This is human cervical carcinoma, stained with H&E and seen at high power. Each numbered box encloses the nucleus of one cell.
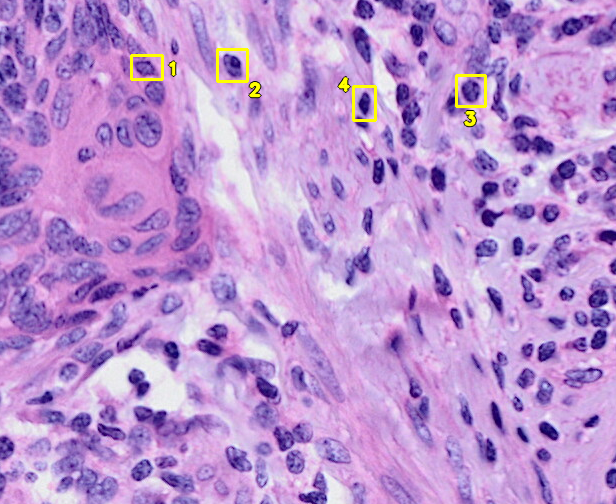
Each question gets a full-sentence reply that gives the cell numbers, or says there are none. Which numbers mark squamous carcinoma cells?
Only the cell carrying number 1 is a squamous carcinoma cell.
